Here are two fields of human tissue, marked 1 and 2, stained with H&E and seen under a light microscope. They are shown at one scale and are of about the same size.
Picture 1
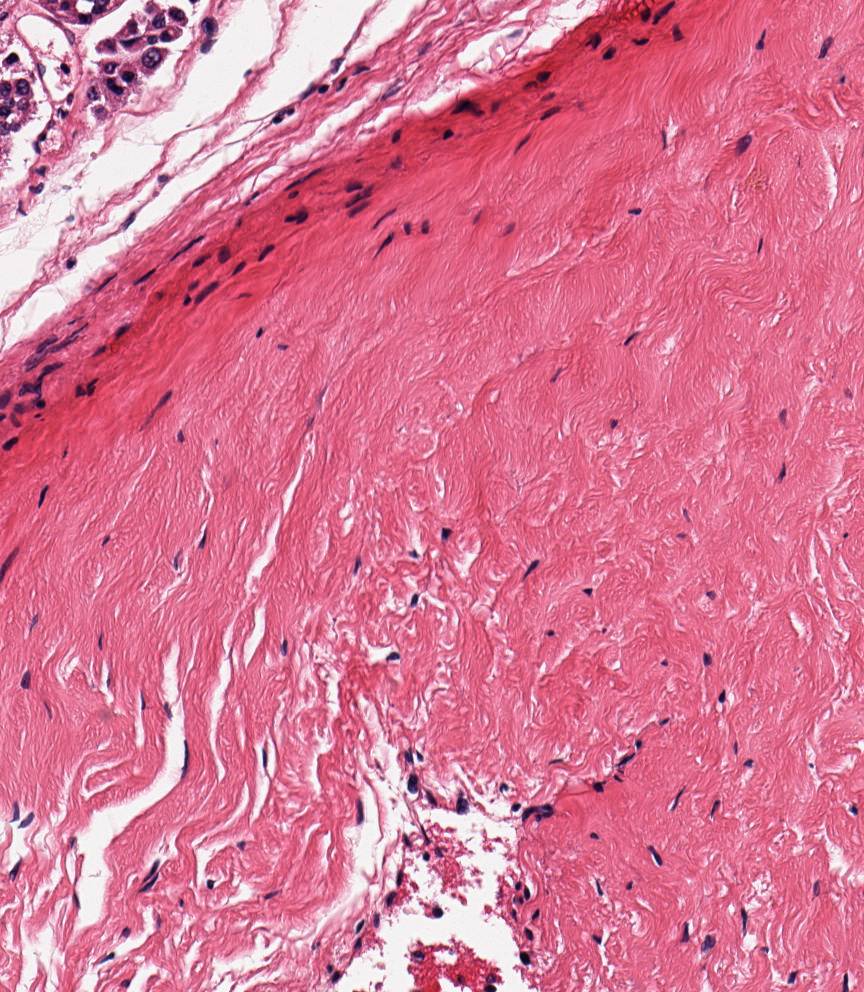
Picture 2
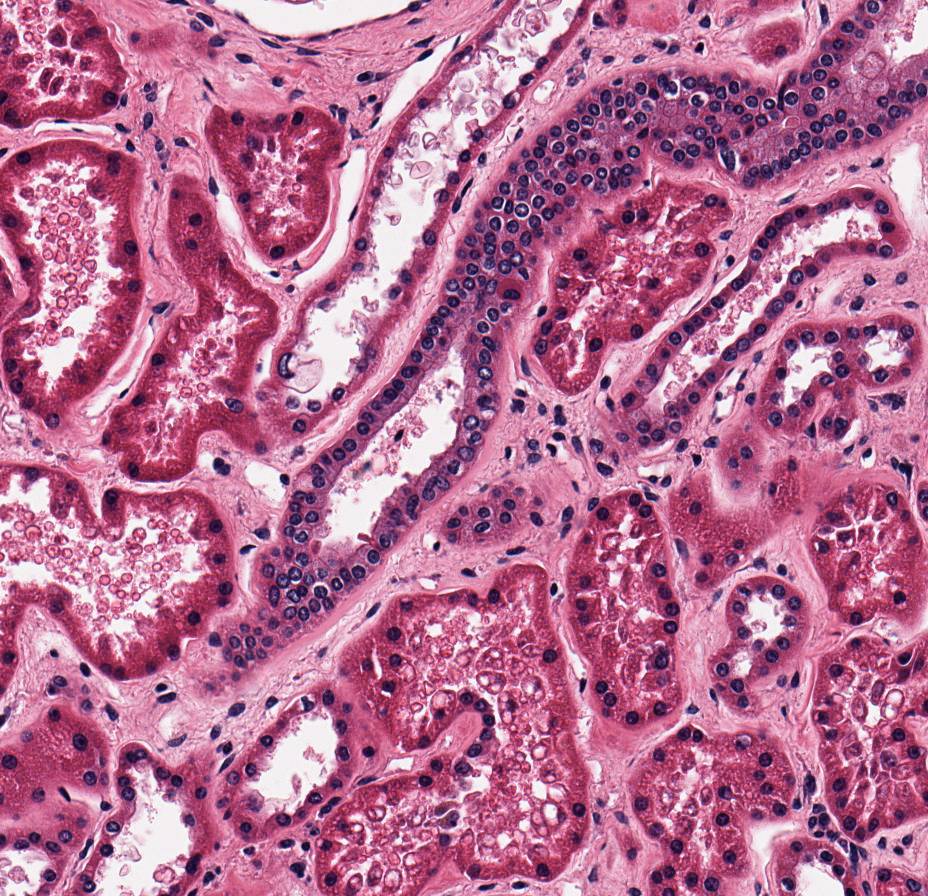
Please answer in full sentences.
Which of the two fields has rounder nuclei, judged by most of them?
Rounder nuclei lie in picture 2.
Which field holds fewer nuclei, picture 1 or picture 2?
It is picture 1 that has fewer nuclei in it.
